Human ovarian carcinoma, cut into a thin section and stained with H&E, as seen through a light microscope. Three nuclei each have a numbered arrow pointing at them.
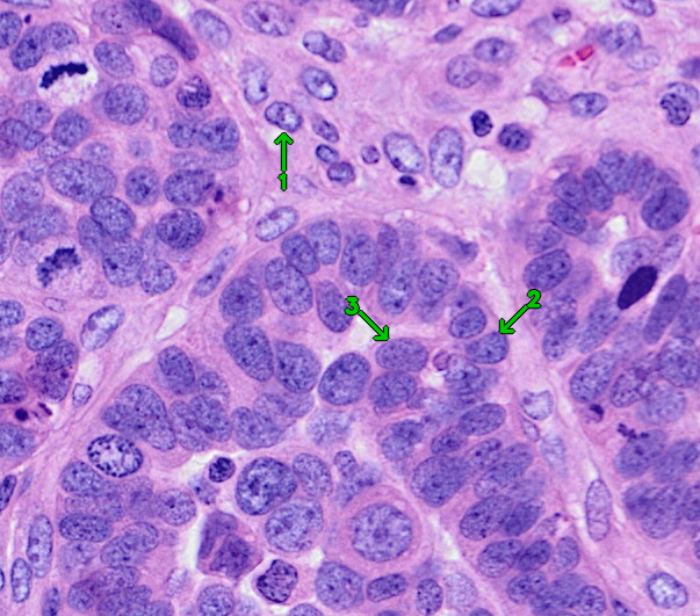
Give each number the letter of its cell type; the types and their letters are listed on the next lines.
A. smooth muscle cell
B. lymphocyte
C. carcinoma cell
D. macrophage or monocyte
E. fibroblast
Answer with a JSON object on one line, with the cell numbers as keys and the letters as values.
{"1": "E", "2": "C", "3": "C"}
